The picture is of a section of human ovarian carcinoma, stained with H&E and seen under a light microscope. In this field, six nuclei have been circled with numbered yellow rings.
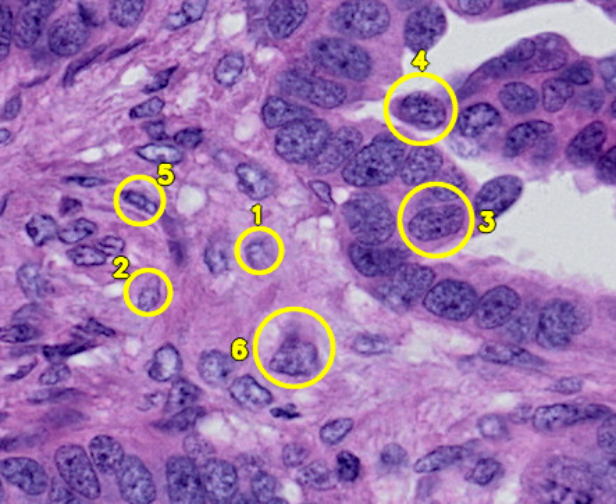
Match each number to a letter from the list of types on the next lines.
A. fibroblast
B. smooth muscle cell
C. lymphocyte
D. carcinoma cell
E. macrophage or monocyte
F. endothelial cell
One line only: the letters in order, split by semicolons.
A; A; D; D; A; A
